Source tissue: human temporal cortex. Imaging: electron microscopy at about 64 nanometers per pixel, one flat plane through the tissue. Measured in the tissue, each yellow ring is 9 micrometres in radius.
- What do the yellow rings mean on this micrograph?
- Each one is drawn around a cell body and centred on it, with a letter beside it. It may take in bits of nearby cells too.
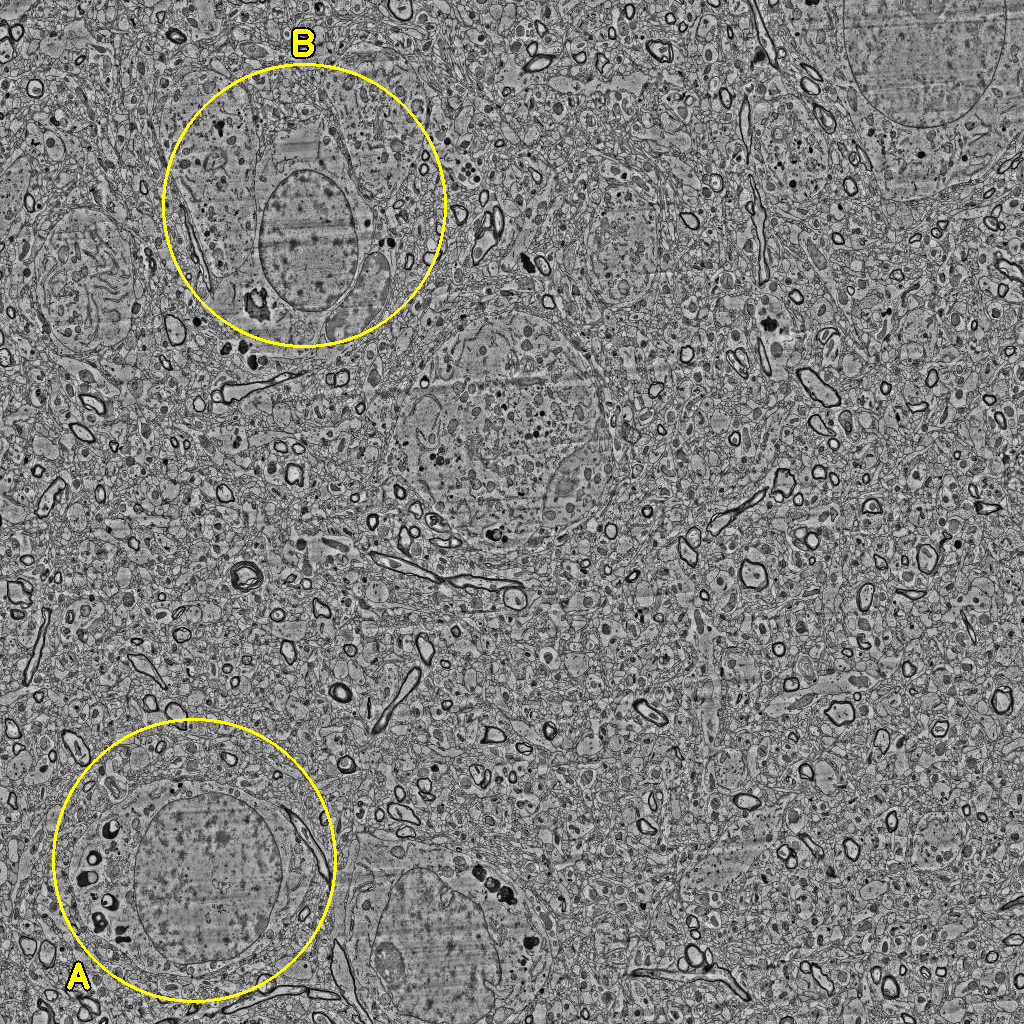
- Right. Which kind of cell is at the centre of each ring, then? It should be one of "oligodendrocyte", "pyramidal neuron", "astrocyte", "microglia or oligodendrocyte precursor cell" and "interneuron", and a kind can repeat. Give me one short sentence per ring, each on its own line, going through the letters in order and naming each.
Ring A circles the cell body of an interneuron.
Ring B circles the cell body of an astrocyte.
